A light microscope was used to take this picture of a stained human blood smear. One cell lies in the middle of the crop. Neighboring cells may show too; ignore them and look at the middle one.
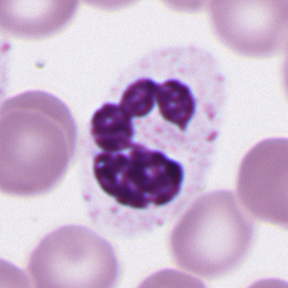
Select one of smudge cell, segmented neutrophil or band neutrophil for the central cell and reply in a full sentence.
In this smear crop, the middle cell is a segmented neutrophil.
